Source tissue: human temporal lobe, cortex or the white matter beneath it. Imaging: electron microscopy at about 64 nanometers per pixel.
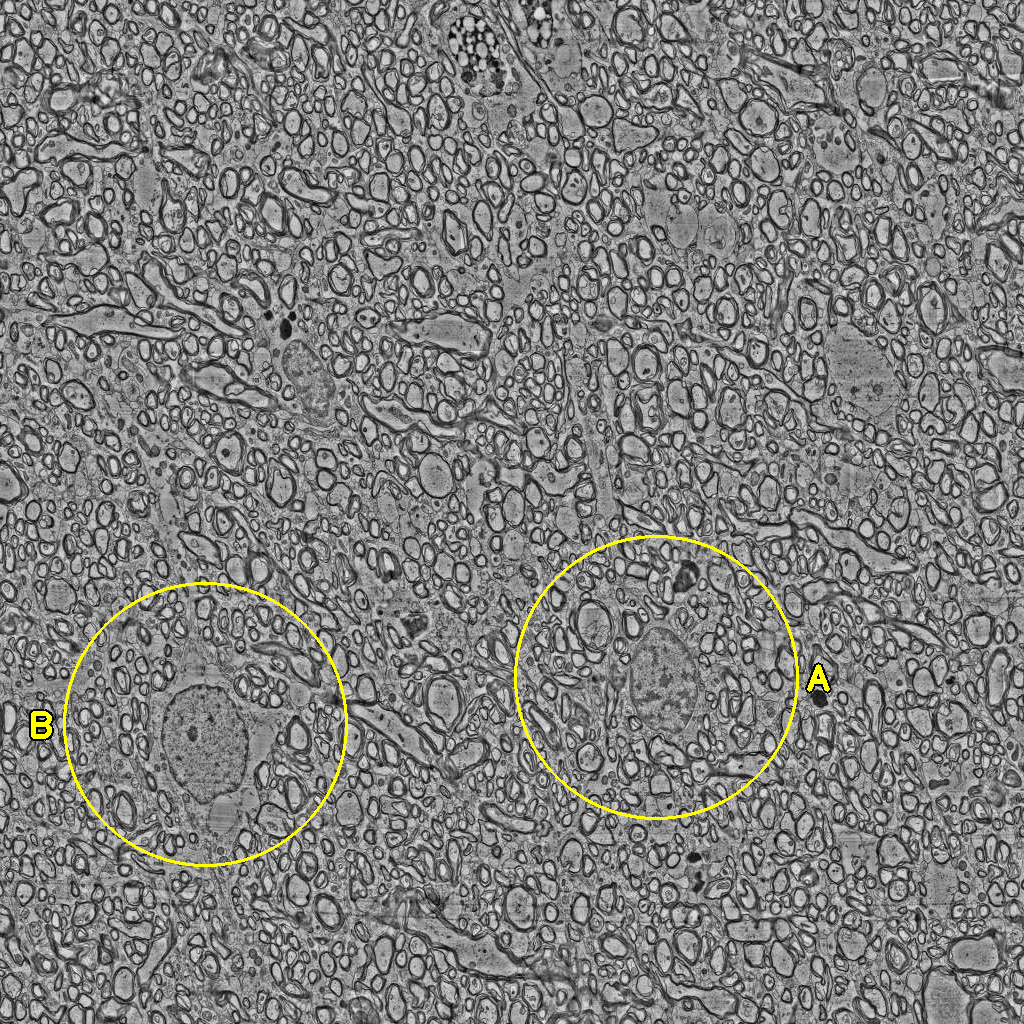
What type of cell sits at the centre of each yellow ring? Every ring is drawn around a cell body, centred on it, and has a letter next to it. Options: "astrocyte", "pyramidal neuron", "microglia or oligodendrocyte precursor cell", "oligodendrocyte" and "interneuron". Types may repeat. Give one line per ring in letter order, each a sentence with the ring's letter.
Ring A has an oligodendrocyte at its centre.
Ring B has an astrocyte at its centre.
